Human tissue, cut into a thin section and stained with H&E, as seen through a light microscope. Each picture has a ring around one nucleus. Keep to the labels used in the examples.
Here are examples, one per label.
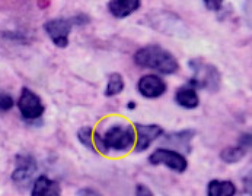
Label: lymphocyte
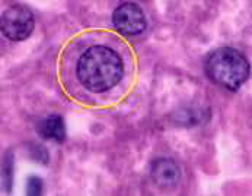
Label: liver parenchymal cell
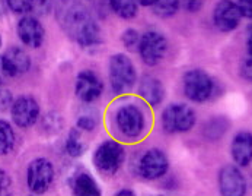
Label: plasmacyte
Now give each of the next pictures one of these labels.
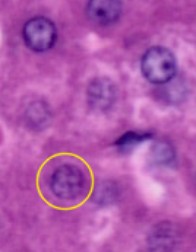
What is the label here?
liver parenchymal cell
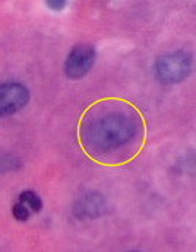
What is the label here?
liver parenchymal cell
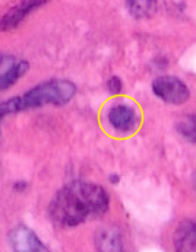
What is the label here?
lymphocyte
